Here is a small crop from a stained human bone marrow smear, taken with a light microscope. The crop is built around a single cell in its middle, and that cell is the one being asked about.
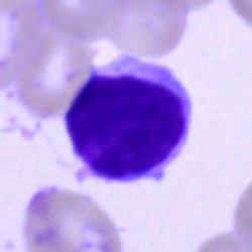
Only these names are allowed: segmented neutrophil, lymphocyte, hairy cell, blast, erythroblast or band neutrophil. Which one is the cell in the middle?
lymphocyte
